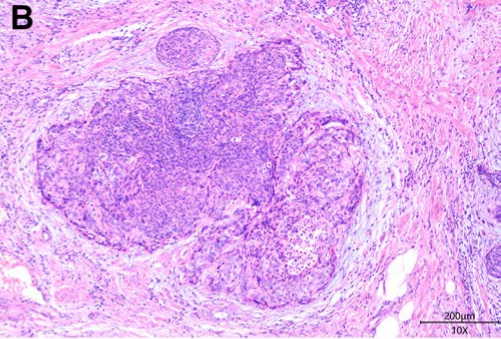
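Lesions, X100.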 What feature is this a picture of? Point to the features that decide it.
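Nests. Large and small rounded clusters of crowded dark cells lie within fibrous stroma. A smaller separate cluster lies above the large one.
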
